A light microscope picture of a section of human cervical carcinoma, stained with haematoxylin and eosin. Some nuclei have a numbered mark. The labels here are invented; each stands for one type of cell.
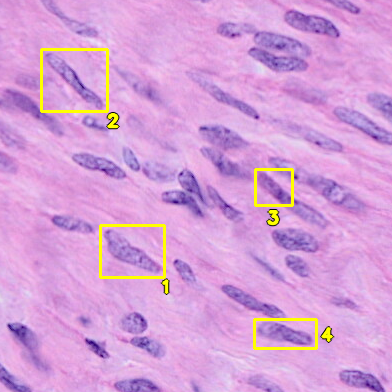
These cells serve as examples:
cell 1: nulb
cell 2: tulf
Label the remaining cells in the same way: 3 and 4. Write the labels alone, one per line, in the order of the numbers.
tulf
nulb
